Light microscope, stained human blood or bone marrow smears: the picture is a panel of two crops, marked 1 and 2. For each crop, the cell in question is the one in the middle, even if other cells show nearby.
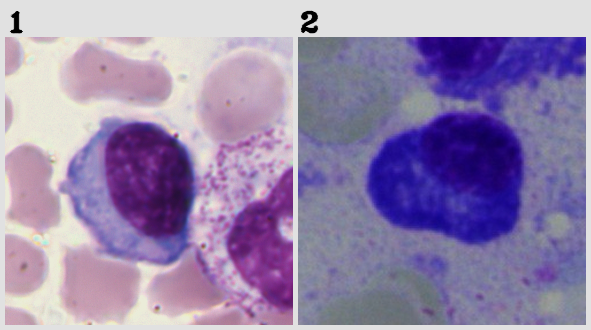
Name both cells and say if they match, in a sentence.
Yes, the two crops show plasma cells at their centres.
